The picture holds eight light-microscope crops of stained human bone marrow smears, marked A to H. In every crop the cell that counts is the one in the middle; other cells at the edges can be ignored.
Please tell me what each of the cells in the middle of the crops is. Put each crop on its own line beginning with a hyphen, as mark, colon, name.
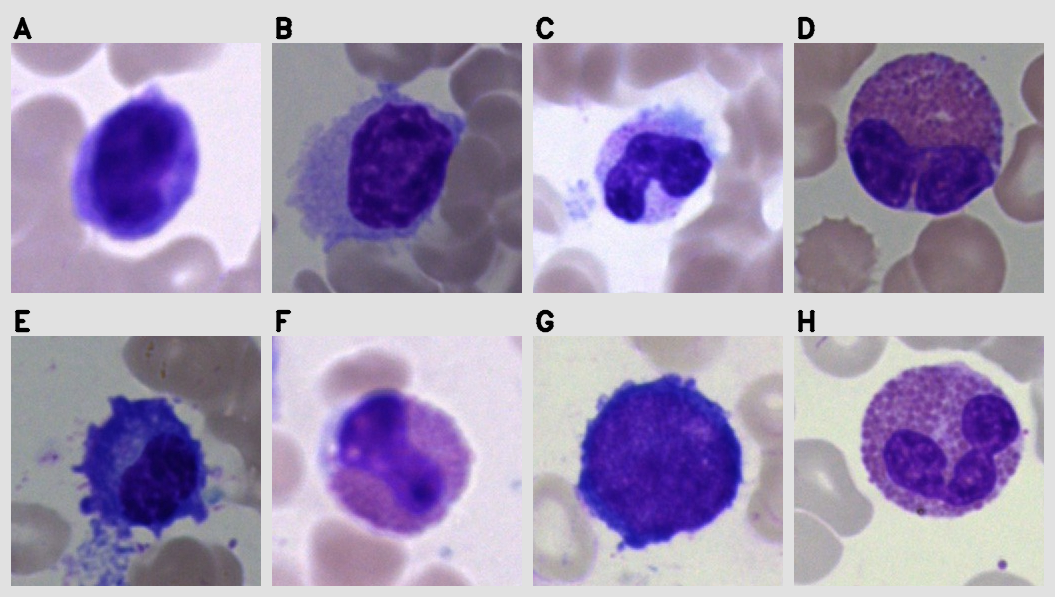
- A: monocyte
- B: hairy cell
- C: band neutrophil
- D: eosinophil
- E: plasma cell
- F: eosinophil
- G: proerythroblast
- H: eosinophil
